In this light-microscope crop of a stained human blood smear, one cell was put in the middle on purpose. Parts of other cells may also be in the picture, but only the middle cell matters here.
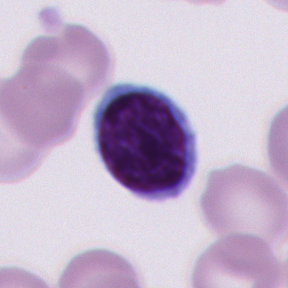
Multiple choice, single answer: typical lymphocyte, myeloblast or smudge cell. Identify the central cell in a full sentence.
The centered cell in this crop is a typical lymphocyte.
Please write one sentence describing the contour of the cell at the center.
Happy to help: the outline is smooth and shows no projections.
